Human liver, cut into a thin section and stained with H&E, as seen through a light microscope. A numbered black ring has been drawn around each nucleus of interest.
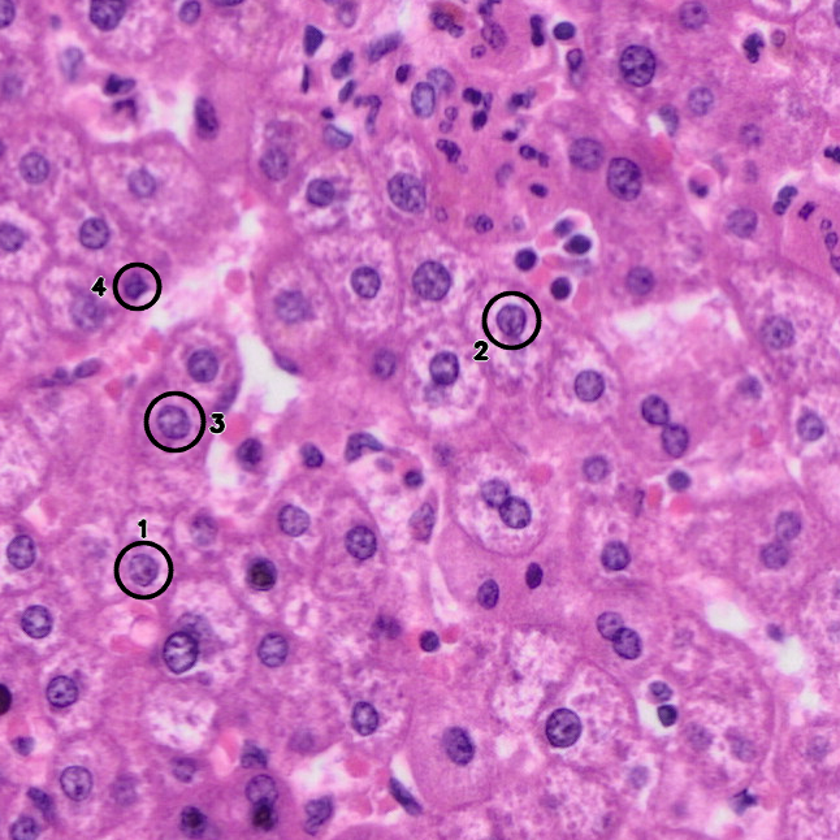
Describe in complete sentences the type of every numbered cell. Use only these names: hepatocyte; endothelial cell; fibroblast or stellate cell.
Cell 1 is a hepatocyte, cell 2 is a hepatocyte, cell 3 is a hepatocyte and cell 4 is a fibroblast or stellate cell.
